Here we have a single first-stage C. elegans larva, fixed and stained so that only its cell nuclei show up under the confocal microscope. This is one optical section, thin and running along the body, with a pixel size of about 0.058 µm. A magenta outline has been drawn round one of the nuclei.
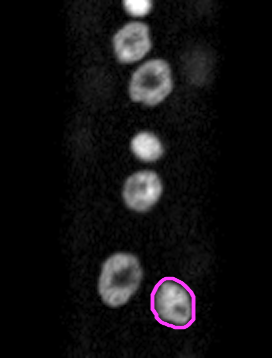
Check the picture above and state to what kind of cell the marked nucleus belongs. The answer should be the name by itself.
P cell (ventral epidermal blast cell)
